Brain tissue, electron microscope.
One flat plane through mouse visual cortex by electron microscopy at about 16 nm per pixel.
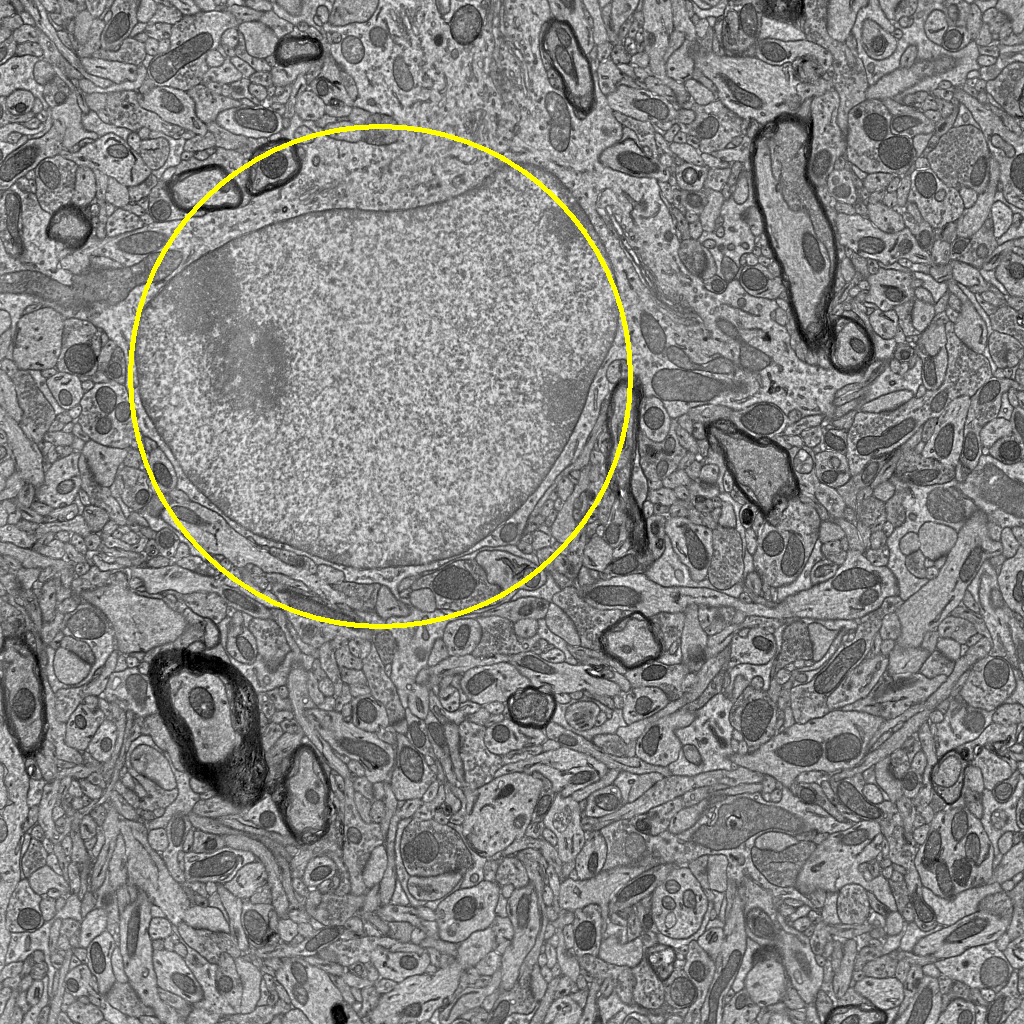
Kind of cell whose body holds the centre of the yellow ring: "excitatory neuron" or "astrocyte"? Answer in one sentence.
The ring's centre falls on an astrocyte.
